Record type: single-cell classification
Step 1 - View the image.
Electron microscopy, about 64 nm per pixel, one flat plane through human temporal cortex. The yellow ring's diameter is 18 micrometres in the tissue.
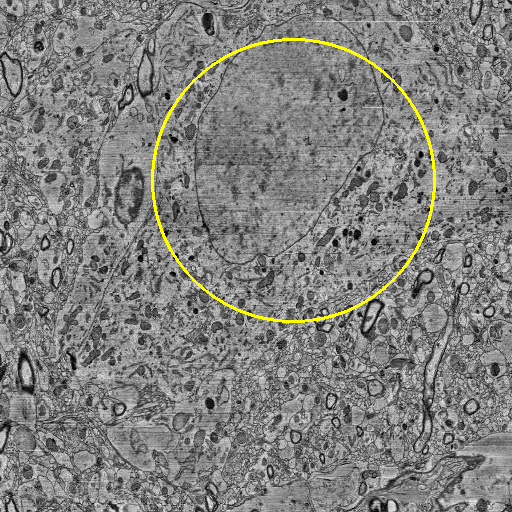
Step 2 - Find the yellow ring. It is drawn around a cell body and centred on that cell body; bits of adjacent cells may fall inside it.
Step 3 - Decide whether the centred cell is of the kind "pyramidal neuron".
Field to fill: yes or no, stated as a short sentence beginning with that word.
Yes, the centred cell is of that kind.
